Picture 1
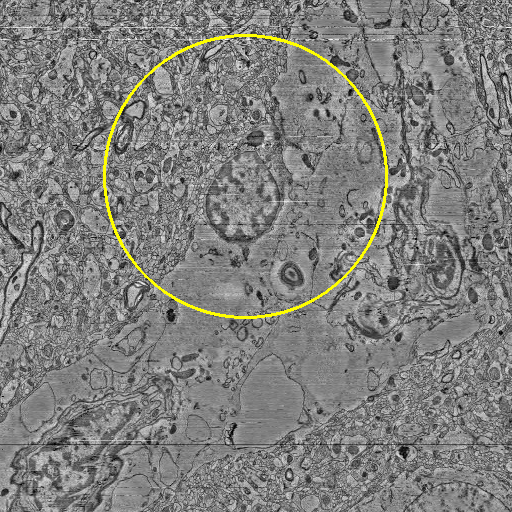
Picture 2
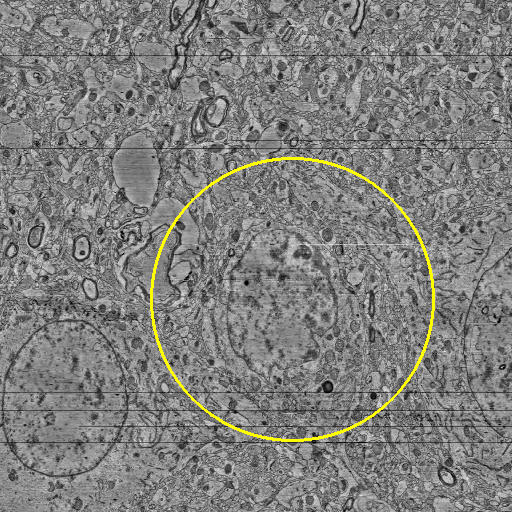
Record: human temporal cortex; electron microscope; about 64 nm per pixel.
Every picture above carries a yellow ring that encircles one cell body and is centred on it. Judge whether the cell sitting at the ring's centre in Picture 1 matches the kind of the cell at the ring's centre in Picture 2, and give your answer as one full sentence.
No, the cells centred in the rings of Pictures 1 and 2 belong to two kinds.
